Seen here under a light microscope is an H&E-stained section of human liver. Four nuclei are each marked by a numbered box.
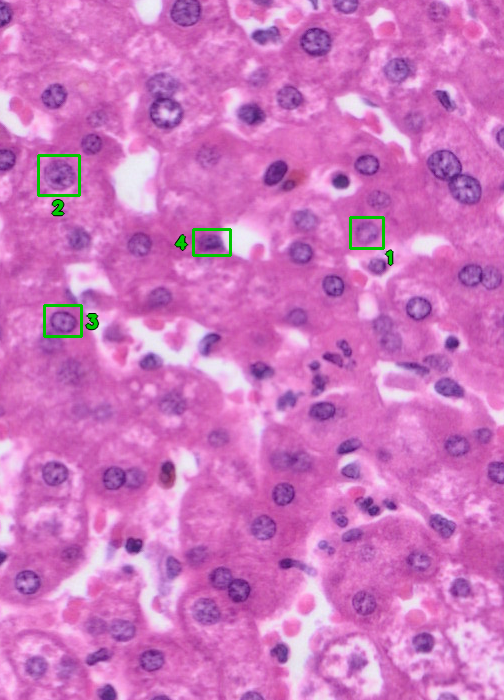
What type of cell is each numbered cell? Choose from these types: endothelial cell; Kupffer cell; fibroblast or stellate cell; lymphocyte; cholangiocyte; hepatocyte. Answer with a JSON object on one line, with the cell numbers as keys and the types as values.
{"1": "hepatocyte", "2": "hepatocyte", "3": "hepatocyte", "4": "fibroblast or stellate cell"}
